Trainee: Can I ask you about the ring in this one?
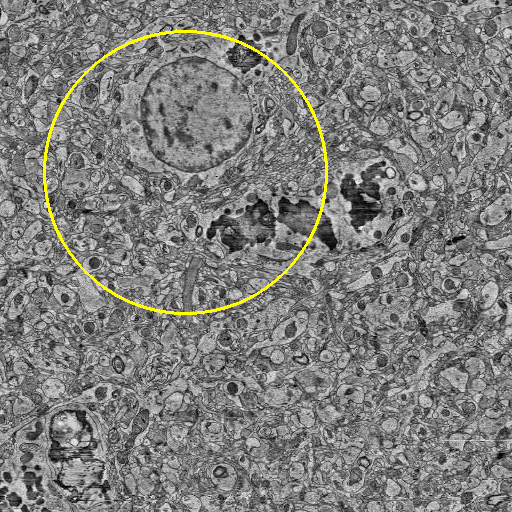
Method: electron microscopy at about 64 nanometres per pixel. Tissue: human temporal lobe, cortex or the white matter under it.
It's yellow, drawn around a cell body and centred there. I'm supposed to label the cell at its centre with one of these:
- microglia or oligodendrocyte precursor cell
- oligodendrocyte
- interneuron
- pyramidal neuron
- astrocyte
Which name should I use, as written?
astrocyte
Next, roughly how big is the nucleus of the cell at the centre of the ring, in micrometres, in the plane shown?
The nucleus of the ringed cell is approximately 7 micrometres across in this plane.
